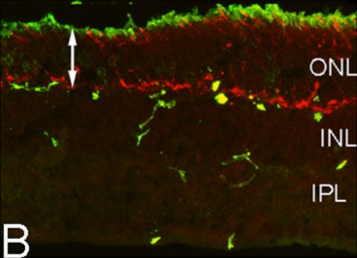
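This is a vertical section of retina, with the photoreceptor layer at the top and the deeper layers below. Green staining lines the outer surface. Beneath it lies a band of photoreceptor nuclei with red cone profiles, and this band narrows from one side of the field to the other. At its inner border runs a bright, beaded red line marking the cone terminals. Below lie the thicker, dimmer inner layers, where only a few thin green processes and scattered green dots stand out against the dark tissue.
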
